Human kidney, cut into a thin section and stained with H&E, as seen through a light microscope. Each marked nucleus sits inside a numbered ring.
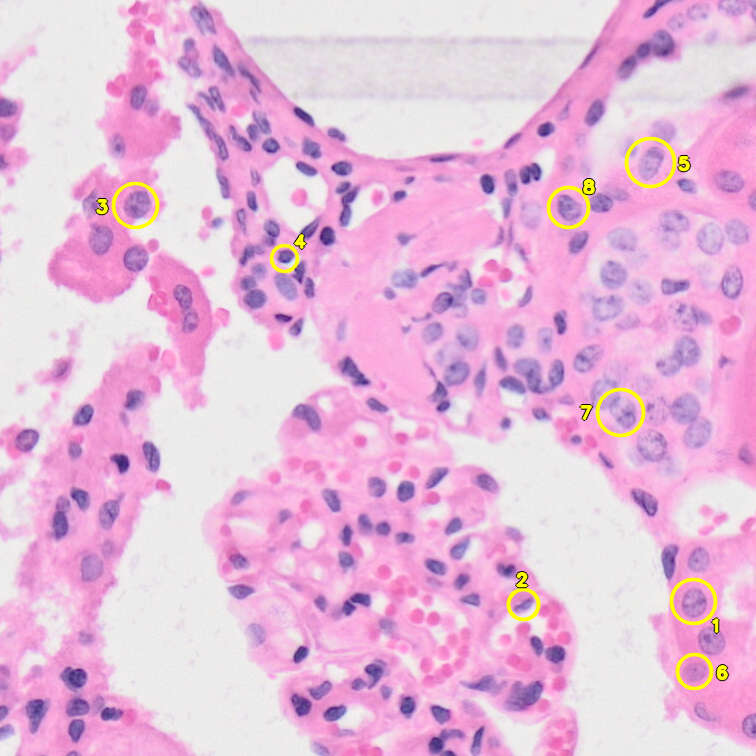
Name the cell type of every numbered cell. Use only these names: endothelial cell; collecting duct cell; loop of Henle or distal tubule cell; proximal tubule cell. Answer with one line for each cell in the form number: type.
1: proximal tubule cell
2: endothelial cell
3: proximal tubule cell
4: endothelial cell
5: collecting duct cell
6: proximal tubule cell
7: collecting duct cell
8: collecting duct cell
